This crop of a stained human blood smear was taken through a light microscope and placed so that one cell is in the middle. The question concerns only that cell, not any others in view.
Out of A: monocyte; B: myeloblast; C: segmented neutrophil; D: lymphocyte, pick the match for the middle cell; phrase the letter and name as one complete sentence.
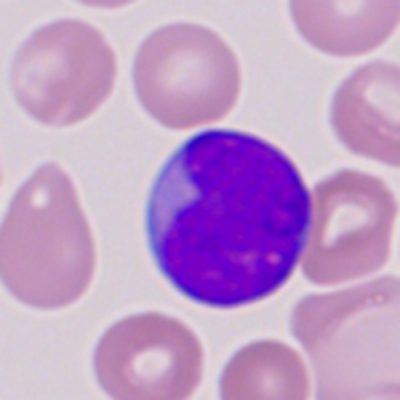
That the central cell is a myeloblast makes option B correct.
